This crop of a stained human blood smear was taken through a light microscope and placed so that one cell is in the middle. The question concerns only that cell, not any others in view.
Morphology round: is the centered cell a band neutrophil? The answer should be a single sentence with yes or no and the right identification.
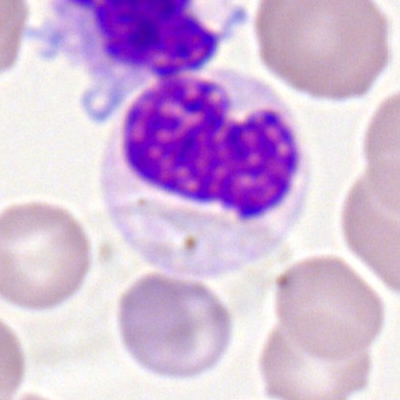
Yes, the cell at the centre of the field is a band neutrophil.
